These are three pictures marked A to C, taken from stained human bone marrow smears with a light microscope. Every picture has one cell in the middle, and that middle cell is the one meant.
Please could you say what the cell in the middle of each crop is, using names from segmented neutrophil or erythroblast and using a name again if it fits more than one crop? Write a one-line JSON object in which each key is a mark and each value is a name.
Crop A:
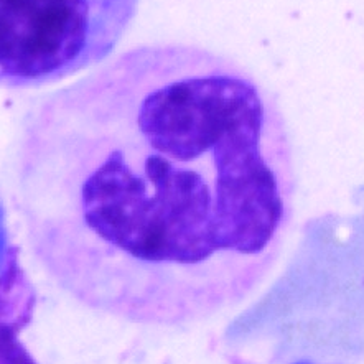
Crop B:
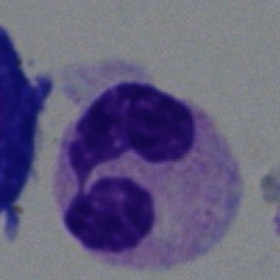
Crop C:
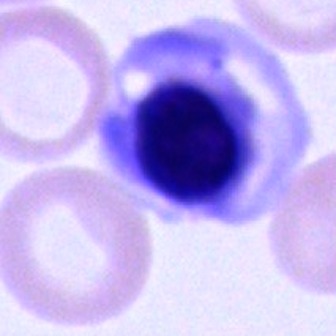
{"A": "segmented neutrophil", "B": "segmented neutrophil", "C": "erythroblast"}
